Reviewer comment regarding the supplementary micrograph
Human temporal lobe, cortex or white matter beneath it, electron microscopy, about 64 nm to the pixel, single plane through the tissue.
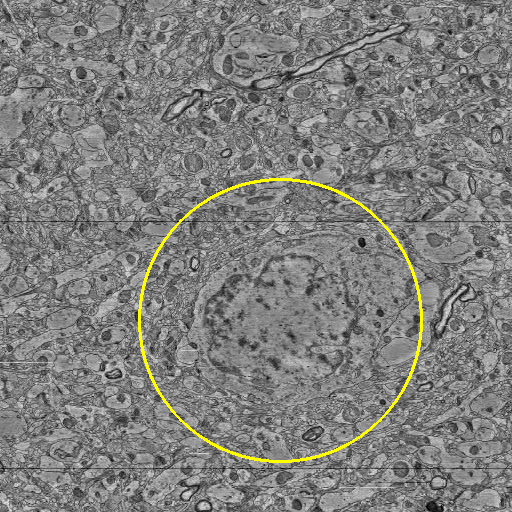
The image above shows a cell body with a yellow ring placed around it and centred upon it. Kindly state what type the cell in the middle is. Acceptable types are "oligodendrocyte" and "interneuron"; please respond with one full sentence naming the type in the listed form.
In the image above, the cell on which the yellow ring is centred is an interneuron.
